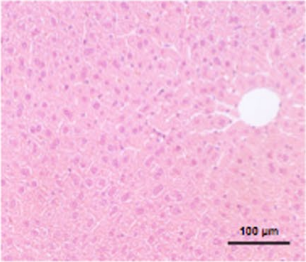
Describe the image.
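Pink-stained polygonal cells with single round, centrally placed purple nuclei are packed in cords, with thin sinusoidal spaces between them and a round empty vessel lumen on the right. These are hepatocytes of liver tissue, with evenly stained cytoplasm and no clear vacuoles.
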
